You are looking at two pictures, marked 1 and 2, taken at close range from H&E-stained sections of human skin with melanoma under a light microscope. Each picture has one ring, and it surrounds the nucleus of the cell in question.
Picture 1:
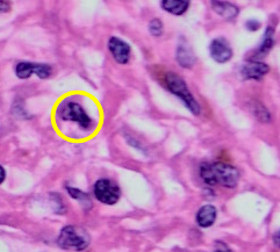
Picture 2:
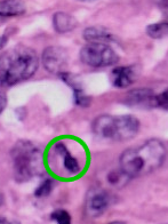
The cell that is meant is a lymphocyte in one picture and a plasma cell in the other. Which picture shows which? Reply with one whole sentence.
In picture 1 the cell is a plasma cell; in picture 2, a lymphocyte.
